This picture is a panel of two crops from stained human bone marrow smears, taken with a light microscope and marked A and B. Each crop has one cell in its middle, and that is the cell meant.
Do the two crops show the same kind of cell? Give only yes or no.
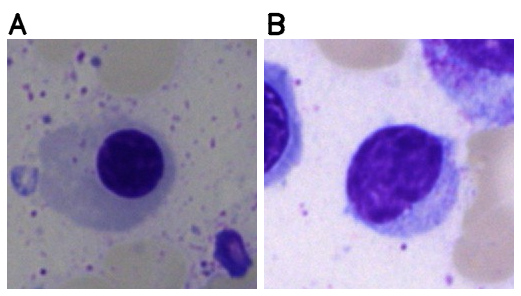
no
